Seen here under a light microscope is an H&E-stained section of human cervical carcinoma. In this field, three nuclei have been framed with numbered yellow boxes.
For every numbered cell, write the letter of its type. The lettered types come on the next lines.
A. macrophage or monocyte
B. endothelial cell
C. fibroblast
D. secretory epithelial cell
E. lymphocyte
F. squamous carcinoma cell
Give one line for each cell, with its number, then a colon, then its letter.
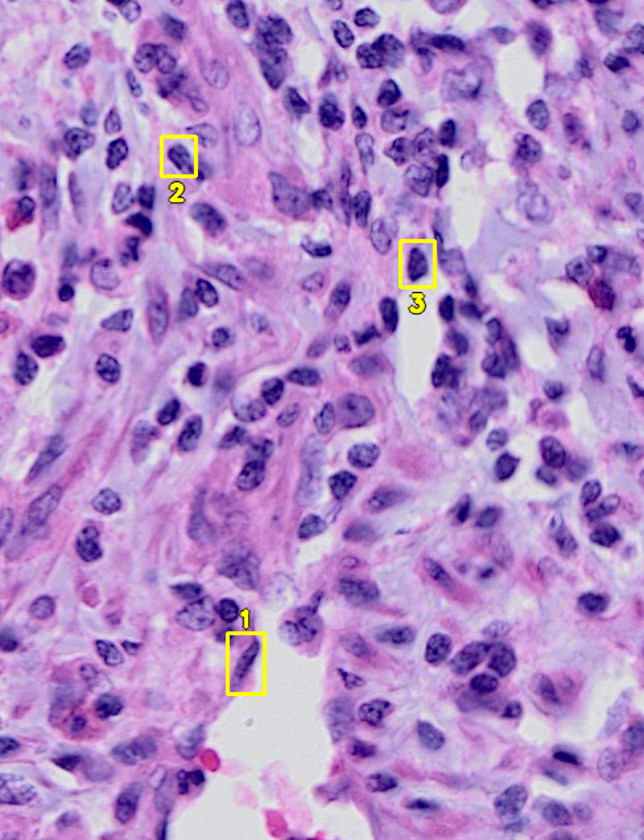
1: B
2: E
3: E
